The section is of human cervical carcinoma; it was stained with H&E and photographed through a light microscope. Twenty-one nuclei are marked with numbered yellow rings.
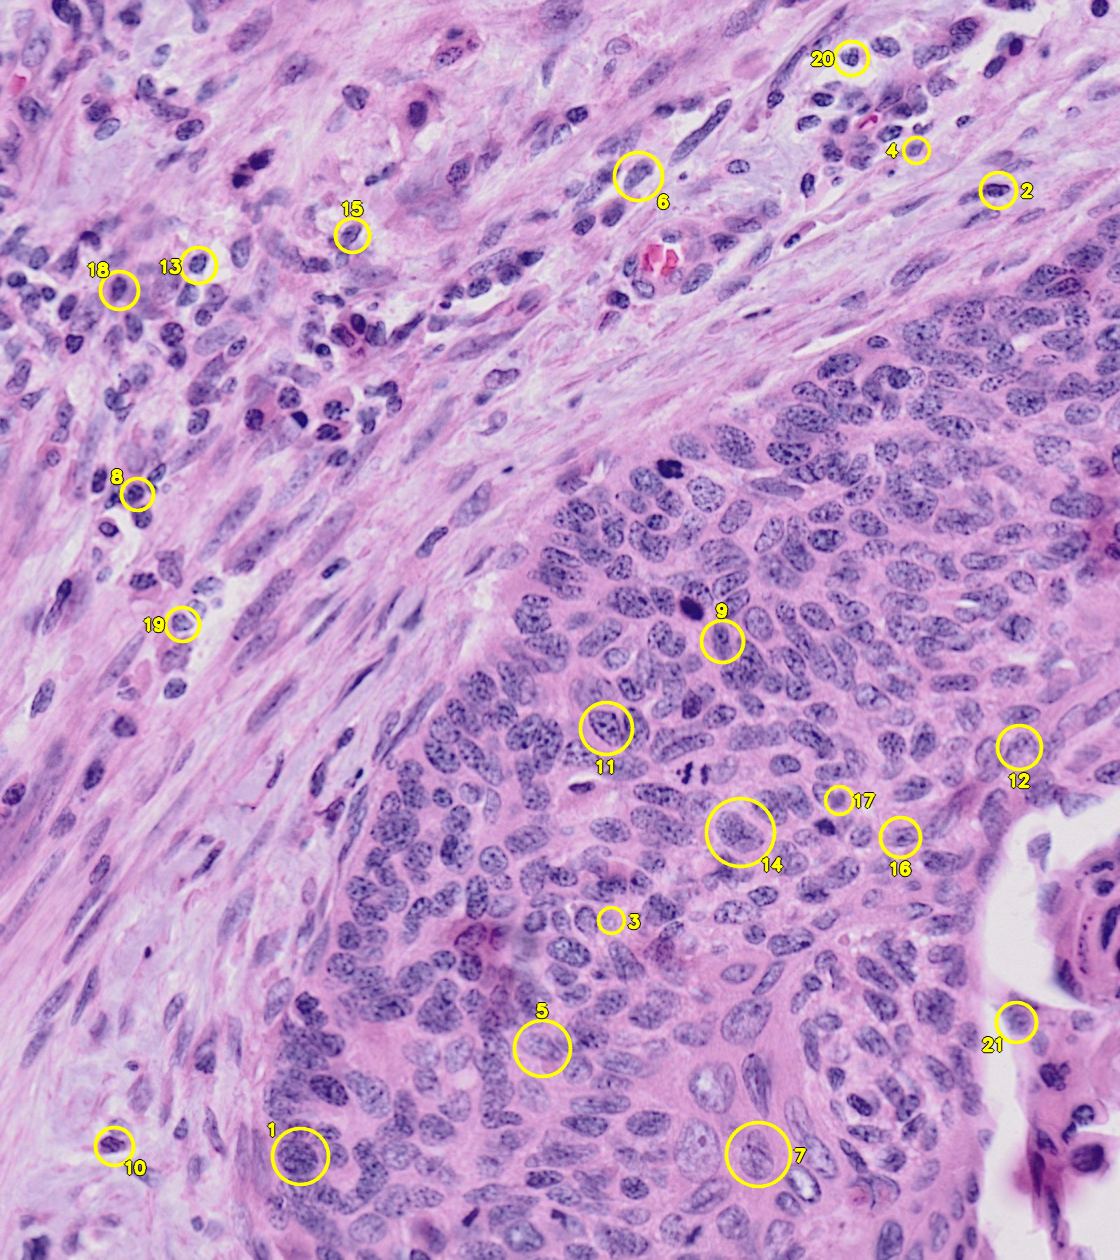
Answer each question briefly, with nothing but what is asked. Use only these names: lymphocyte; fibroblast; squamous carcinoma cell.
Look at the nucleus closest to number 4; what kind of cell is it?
lymphocyte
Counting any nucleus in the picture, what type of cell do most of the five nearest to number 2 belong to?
fibroblast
